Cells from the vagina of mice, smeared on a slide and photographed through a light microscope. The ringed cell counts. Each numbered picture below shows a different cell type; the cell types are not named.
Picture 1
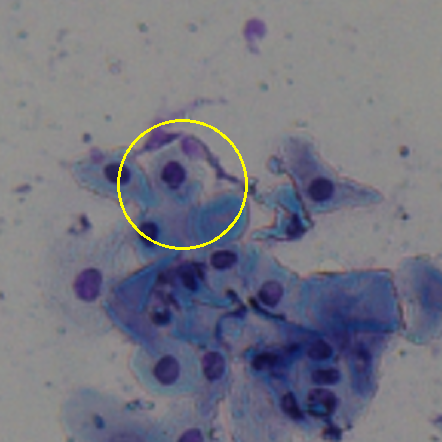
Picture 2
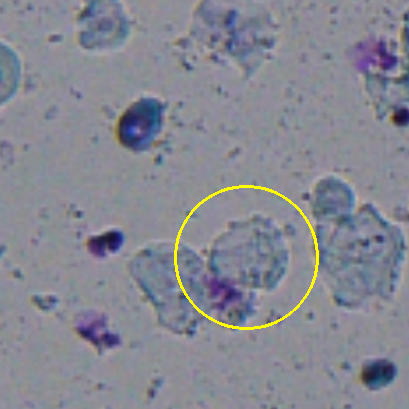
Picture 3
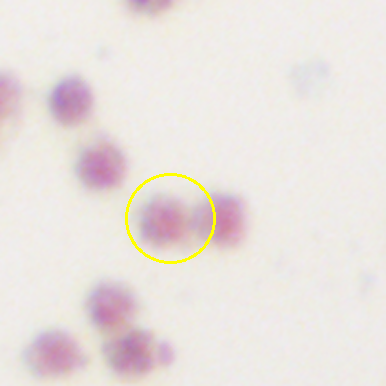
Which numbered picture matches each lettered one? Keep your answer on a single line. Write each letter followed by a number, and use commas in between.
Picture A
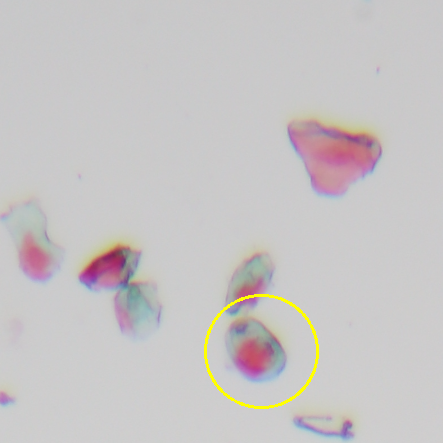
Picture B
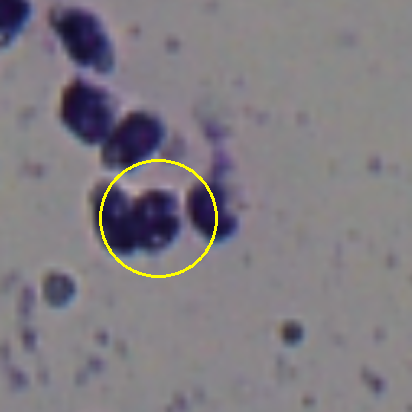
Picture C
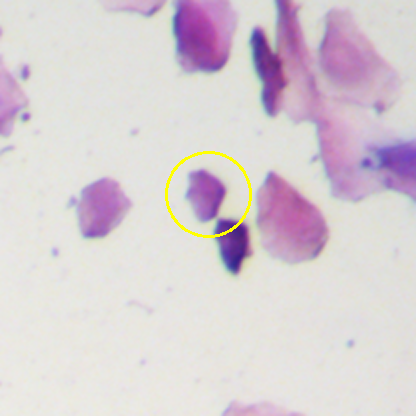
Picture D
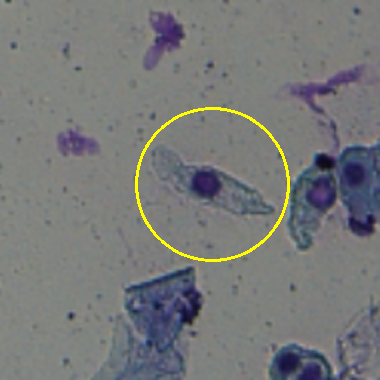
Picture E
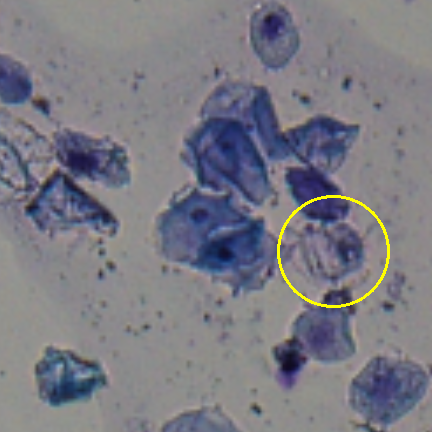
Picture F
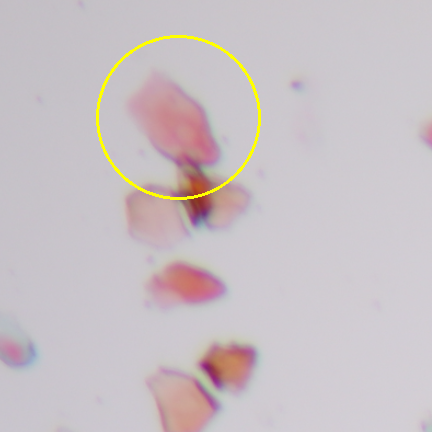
A 1, B 3, C 2, D 1, E 2, F 2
